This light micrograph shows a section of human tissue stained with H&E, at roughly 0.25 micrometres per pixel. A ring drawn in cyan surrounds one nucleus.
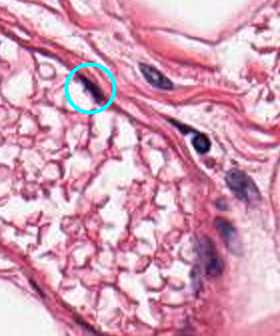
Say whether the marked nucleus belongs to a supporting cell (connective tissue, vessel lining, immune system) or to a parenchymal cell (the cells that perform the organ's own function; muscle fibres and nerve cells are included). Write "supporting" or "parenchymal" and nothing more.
supporting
